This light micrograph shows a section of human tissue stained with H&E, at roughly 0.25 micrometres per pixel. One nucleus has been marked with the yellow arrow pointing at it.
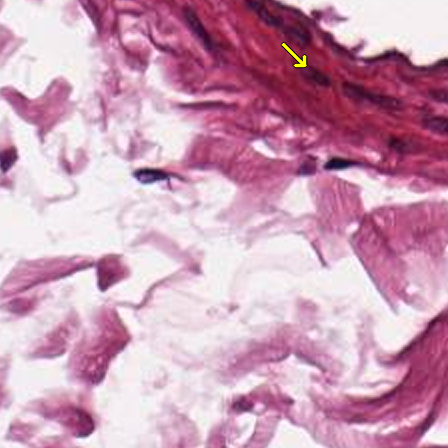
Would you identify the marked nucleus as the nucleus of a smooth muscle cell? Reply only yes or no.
yes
